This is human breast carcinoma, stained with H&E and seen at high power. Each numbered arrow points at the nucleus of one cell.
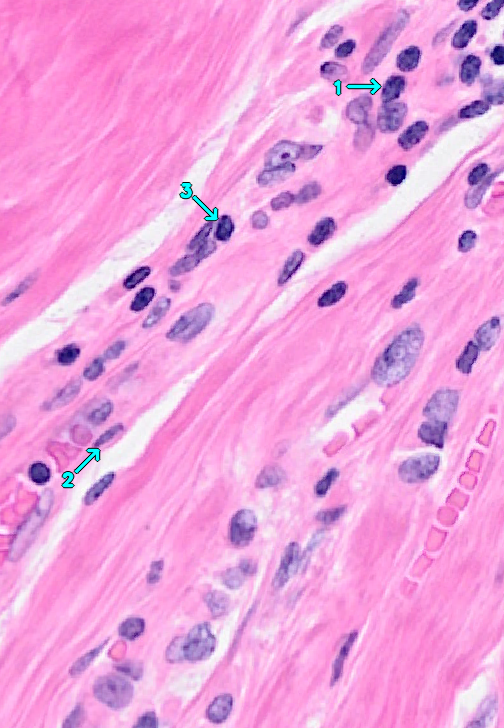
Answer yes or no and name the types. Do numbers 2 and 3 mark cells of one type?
No, in contrast to cell 3, which is a lymphocyte, cell 2 is an endothelial cell.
